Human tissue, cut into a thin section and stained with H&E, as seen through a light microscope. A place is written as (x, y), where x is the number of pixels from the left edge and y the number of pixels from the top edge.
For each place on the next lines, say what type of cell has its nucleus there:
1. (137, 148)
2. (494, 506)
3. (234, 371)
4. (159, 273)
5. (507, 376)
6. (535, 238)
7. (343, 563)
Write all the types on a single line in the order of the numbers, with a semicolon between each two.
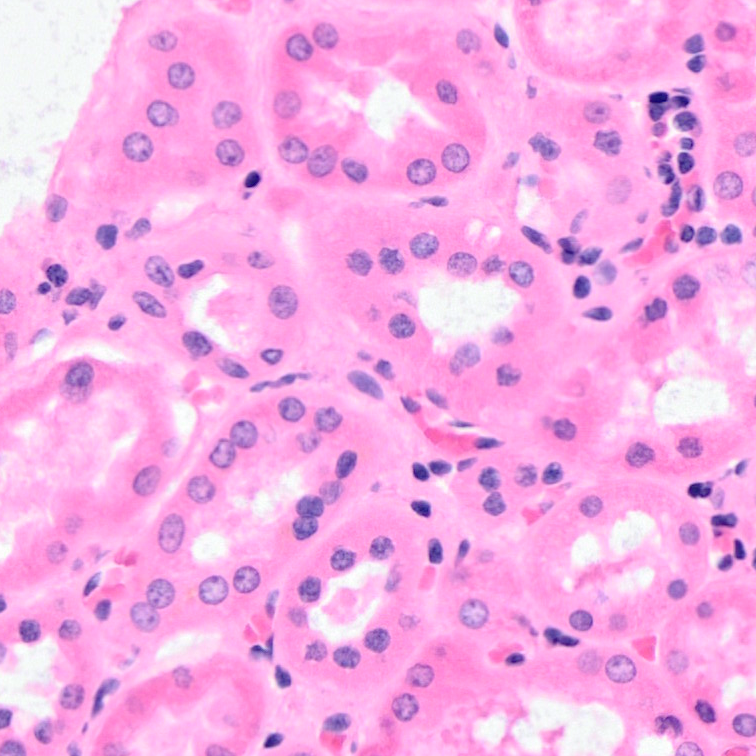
proximal tubule cell; loop of Henle or distal tubule cell; collecting duct cell; collecting duct cell; loop of Henle or distal tubule cell; endothelial cell; loop of Henle or distal tubule cell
